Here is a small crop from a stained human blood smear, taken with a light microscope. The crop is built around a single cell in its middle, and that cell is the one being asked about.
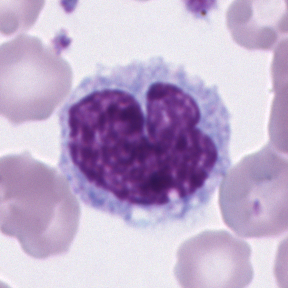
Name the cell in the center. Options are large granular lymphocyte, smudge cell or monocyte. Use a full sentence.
The middle of this crop is occupied by a monocyte.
